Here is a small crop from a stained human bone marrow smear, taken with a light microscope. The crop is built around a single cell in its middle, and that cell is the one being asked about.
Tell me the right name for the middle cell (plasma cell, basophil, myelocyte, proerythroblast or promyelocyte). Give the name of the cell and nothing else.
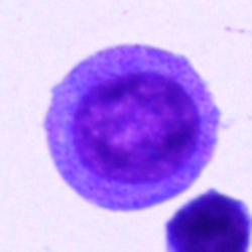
promyelocyte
